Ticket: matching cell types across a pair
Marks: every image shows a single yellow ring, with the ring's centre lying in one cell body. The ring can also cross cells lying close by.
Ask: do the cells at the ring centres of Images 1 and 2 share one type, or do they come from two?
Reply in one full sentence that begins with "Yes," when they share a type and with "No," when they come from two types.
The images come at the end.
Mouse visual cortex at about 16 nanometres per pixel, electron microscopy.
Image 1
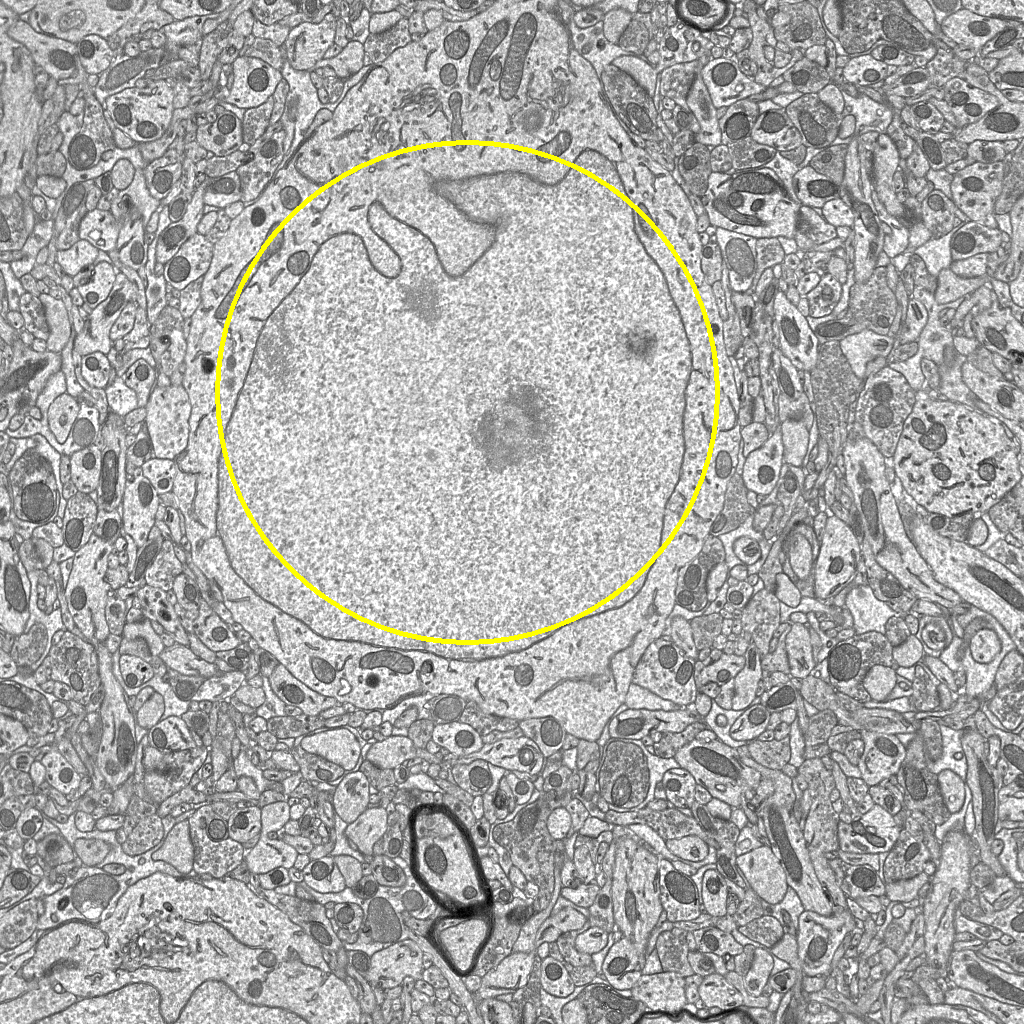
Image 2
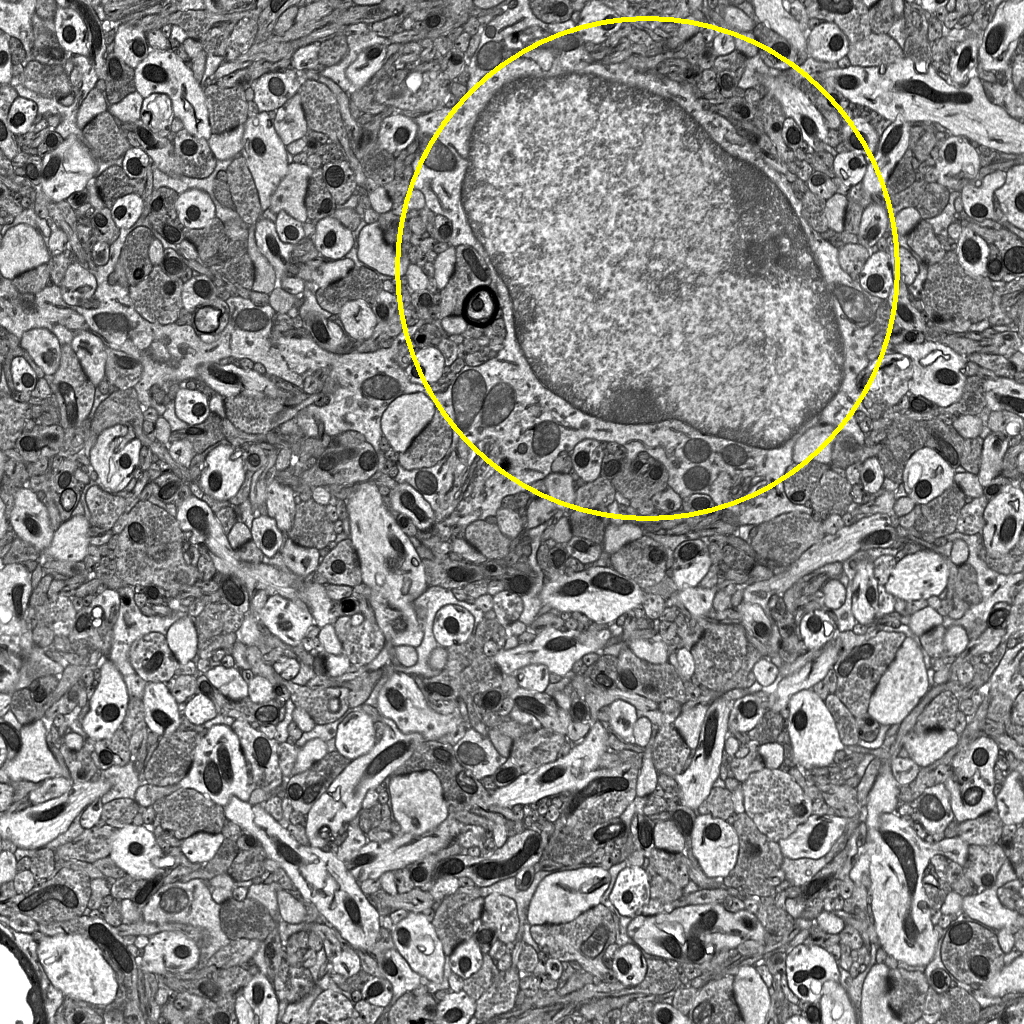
No, the cells at the centres of the rings in Image 1 and Image 2 come from two types.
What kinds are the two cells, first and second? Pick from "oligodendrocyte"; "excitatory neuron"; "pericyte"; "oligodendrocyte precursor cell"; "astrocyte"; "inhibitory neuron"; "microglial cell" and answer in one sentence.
The first is an excitatory neuron and the second is an astrocyte.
